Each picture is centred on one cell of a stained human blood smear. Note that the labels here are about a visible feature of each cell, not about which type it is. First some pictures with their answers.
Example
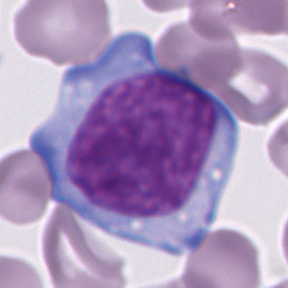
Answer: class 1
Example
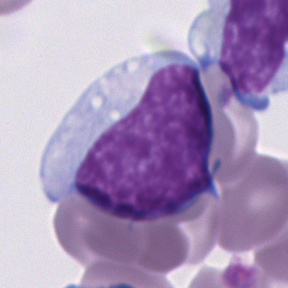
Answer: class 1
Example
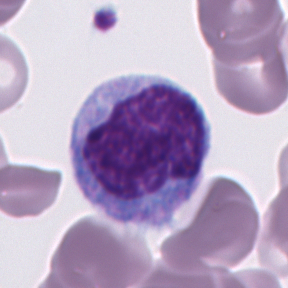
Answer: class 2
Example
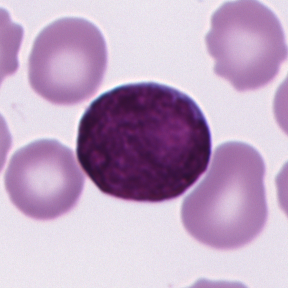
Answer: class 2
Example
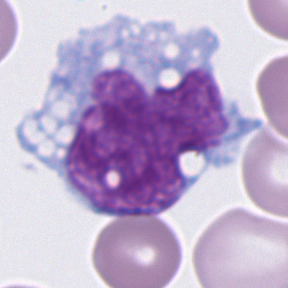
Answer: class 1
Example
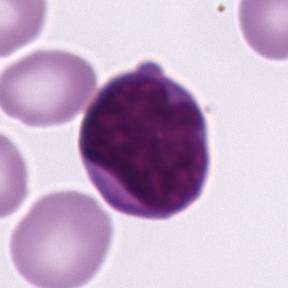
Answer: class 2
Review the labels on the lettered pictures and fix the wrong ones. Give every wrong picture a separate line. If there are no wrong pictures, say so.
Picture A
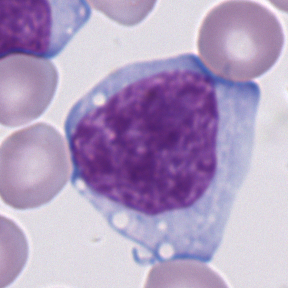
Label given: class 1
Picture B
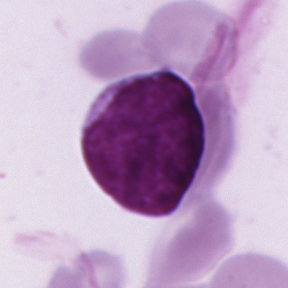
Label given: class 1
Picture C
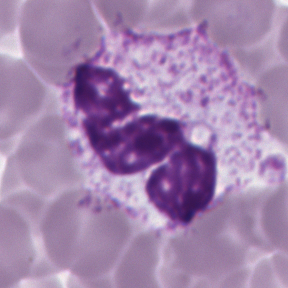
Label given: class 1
B: not class 1 but class 2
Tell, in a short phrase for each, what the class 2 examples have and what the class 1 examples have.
class 2, no vacuoles; class 1, vacuoles present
